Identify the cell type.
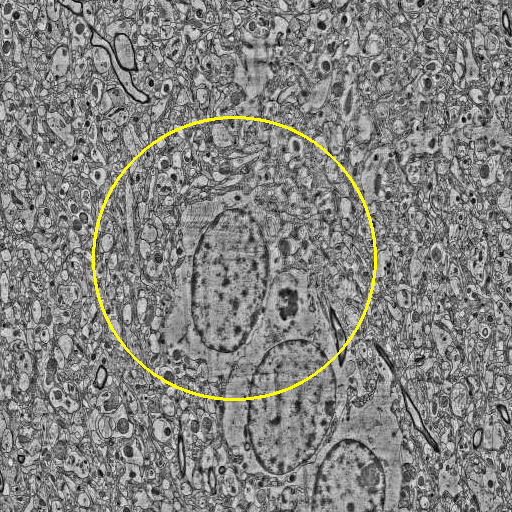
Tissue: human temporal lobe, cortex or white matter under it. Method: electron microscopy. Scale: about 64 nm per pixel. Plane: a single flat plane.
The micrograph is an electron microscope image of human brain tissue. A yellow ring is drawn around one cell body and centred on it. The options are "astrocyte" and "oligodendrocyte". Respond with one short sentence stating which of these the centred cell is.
The cell body in the ring belongs to an astrocyte.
